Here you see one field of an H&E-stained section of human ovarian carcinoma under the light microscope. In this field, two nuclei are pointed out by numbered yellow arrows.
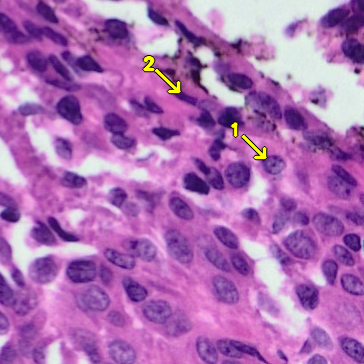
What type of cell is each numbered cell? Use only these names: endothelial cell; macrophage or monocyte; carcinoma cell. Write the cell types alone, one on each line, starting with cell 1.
macrophage or monocyte
endothelial cell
